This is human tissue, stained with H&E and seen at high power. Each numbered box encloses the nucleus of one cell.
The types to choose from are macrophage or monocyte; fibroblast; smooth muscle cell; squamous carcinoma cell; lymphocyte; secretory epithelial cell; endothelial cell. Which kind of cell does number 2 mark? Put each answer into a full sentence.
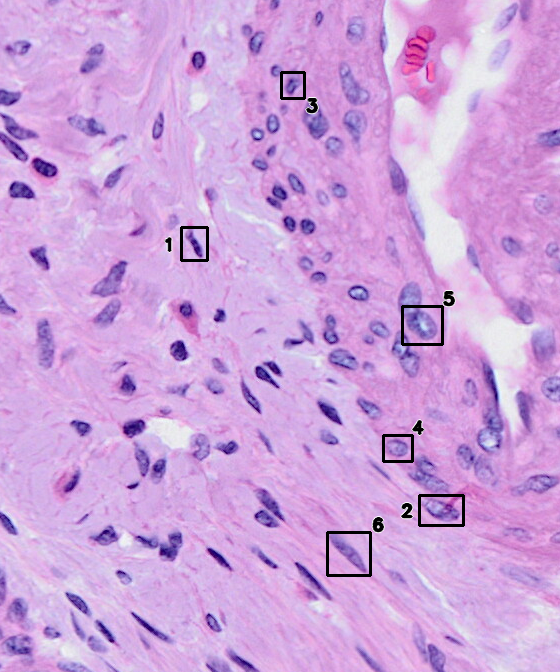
Cell number 2 in this section is a smooth muscle cell.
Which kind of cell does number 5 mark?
The label 5 in this section denotes a smooth muscle cell.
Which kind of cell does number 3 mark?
The cell identified by number 3 is a smooth muscle cell.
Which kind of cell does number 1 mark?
Denoted by the label 1 in the section is a fibroblast.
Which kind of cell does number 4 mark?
That cell with number 4 is a smooth muscle cell.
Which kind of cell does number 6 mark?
The cell referenced by the number 6 is a fibroblast in this field.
